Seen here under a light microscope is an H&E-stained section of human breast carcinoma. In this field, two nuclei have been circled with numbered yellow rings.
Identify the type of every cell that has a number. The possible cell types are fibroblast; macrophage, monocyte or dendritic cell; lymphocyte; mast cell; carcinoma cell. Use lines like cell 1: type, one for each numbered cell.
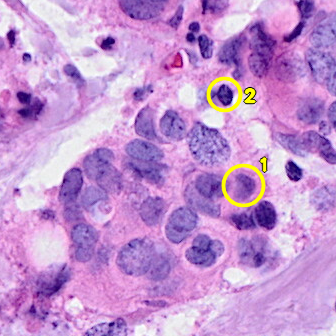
cell 1: carcinoma cell
cell 2: lymphocyte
